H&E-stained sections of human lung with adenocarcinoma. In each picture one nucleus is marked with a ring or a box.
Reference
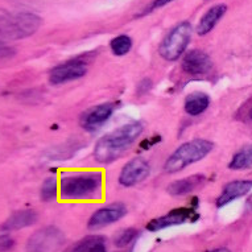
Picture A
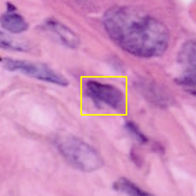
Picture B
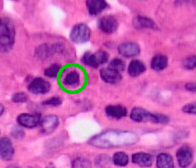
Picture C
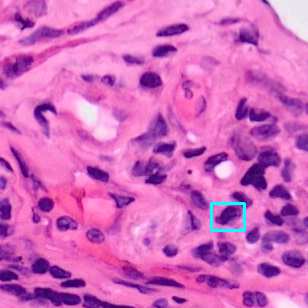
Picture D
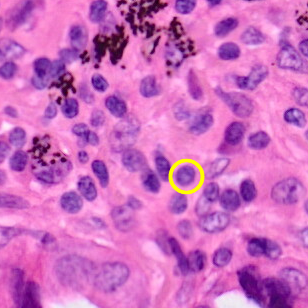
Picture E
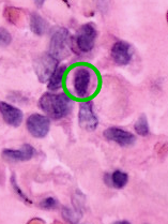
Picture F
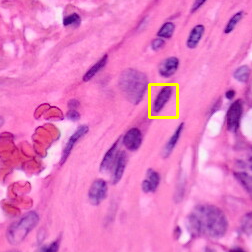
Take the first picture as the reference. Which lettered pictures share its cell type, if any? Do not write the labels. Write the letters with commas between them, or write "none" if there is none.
A, E, F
